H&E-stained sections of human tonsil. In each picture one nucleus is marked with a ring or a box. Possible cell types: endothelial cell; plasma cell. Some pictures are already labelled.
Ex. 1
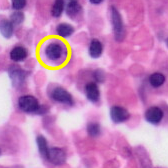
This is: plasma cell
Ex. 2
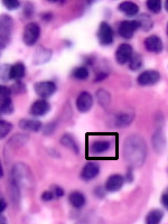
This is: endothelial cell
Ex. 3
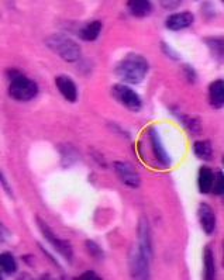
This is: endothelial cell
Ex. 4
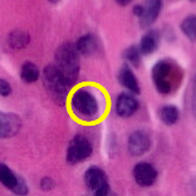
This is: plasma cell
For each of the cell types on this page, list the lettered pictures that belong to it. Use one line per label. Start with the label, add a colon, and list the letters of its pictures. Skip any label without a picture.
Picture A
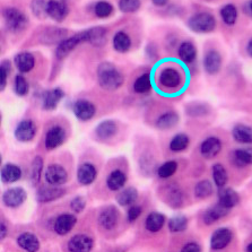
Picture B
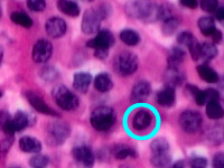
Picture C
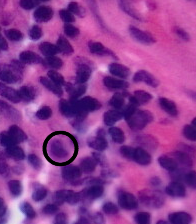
endothelial cell: C
plasma cell: A, B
